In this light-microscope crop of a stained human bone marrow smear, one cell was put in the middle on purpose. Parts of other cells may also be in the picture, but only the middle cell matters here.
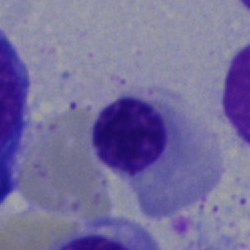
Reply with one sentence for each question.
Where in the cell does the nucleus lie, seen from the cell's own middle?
The nucleus lies toward the upper left of the cell.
